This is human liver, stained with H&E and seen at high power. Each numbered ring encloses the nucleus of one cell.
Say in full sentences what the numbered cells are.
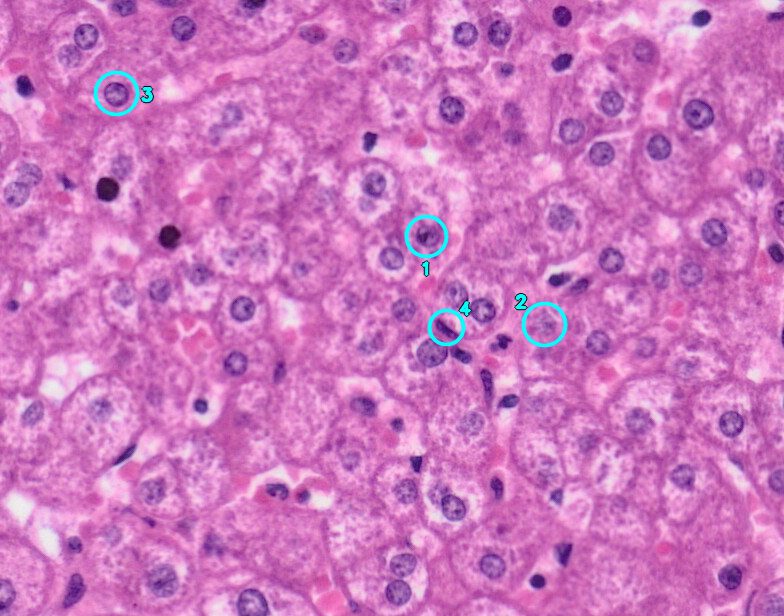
Cells 1, 2 and 3 are hepatocytes. Cell 4 is a fibroblast or stellate cell.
